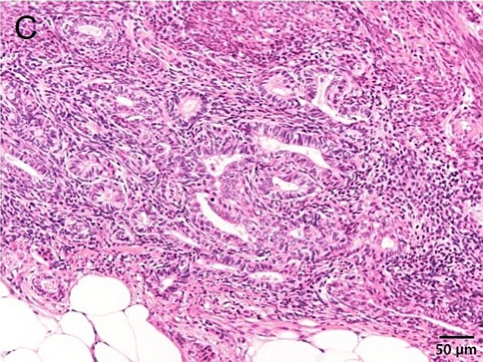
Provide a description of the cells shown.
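This is a gland-forming tumor in which many crowded tubular glands lie close together within a dense, cellular stroma. The glands are lined by tall columnar cells whose elongated, dark purple nuclei are crowded and stacked, and the lumens are small and open. Between the glands lie spindle-shaped stromal cells with dark nuclei, and at the lower left edge a few large empty fat cells are seen.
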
